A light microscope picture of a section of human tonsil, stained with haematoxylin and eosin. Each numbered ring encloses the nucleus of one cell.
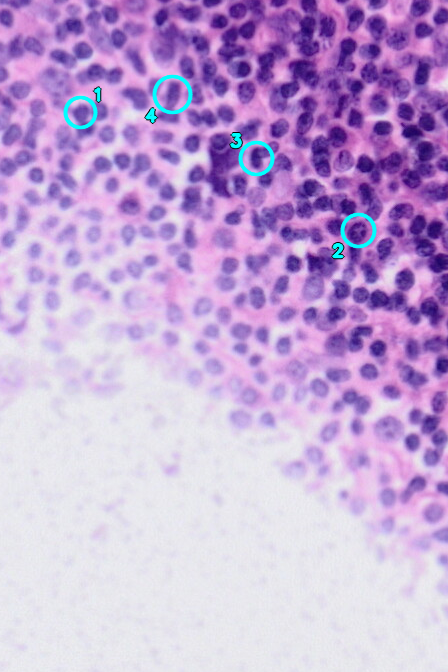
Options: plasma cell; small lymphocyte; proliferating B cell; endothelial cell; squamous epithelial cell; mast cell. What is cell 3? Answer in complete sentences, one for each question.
In this section, the cell numbered 3 is a small lymphocyte.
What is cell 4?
The cell identified by the number 4 is a small lymphocyte.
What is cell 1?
What the number 1 marks in this field is a small lymphocyte.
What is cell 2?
The cell assigned the number 2 is a plasma cell.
